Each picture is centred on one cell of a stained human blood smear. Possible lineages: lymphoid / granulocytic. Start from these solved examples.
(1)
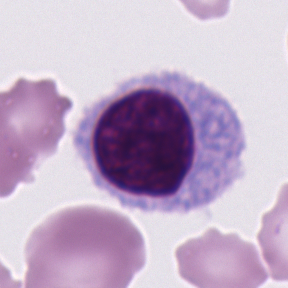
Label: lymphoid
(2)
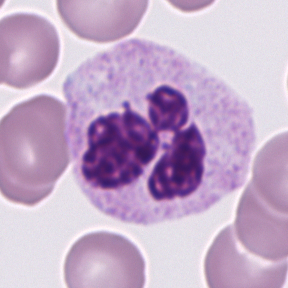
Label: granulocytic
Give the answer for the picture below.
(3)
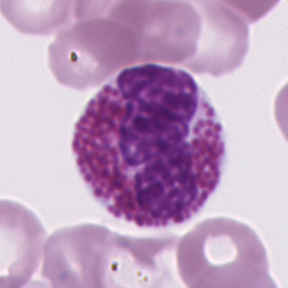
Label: granulocytic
